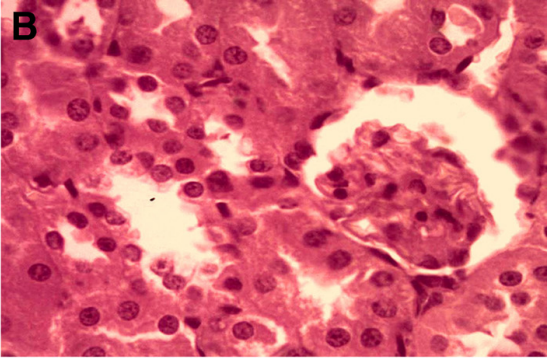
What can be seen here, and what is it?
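Kidney cortex at higher magnification showing a glomerulus within its Bowman capsule among tubules, with injury to the glomerulus and capsule. The glomerular tuft is small and compacted against one side, leaving a wide clear space within the capsule. The surrounding tubules are lined by cells with pink cytoplasm and round nuclei with visible nucleoli, around irregular open lumina.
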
